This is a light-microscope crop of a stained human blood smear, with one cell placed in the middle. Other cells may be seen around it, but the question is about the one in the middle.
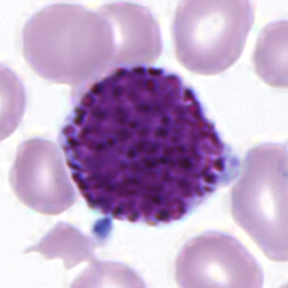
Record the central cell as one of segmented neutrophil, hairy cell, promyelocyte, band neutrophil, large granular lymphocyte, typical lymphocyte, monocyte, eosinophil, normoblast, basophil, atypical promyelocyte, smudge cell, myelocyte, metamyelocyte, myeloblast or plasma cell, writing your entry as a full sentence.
In the crop, the cell of interest at the centre is a basophil.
